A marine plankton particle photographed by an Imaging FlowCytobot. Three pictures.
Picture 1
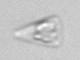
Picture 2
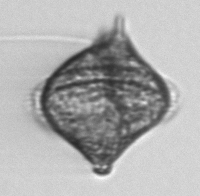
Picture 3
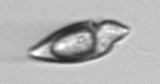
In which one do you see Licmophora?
In picture 1.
